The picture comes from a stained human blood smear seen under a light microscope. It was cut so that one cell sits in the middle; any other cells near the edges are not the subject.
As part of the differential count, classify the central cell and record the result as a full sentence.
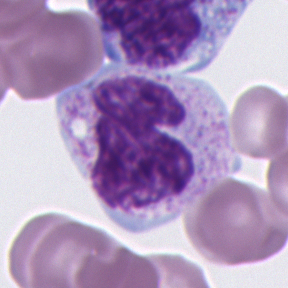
By classification, the middle cell of this crop is a band neutrophil.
